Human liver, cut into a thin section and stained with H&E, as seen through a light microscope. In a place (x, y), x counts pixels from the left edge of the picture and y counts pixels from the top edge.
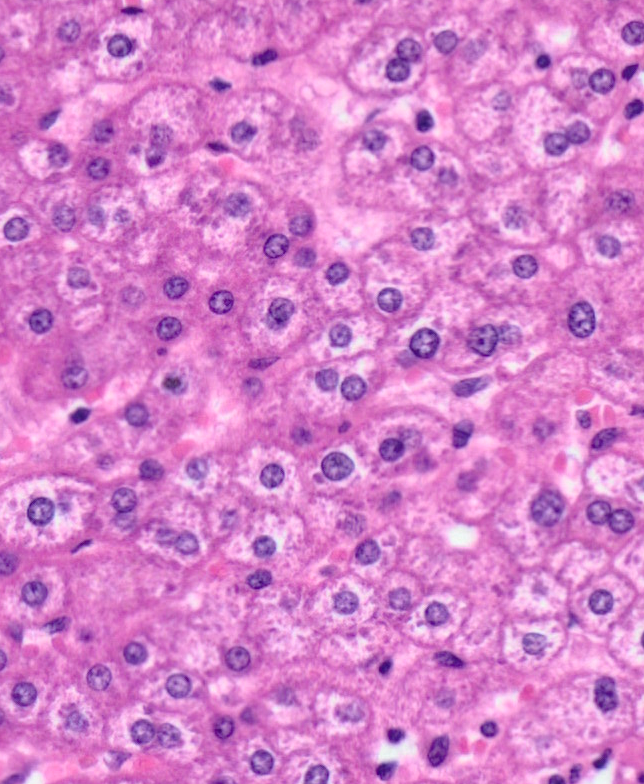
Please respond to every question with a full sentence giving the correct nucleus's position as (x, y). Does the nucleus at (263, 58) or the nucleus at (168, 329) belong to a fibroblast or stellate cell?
The nucleus at (263, 58) is contained in a fibroblast or stellate cell.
